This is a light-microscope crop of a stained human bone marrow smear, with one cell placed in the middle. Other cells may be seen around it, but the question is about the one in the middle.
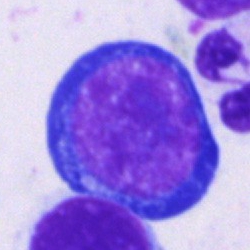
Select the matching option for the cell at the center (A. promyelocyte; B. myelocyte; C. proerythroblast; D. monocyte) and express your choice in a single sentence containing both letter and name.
Since the cell in the middle is a proerythroblast, option C is correct.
